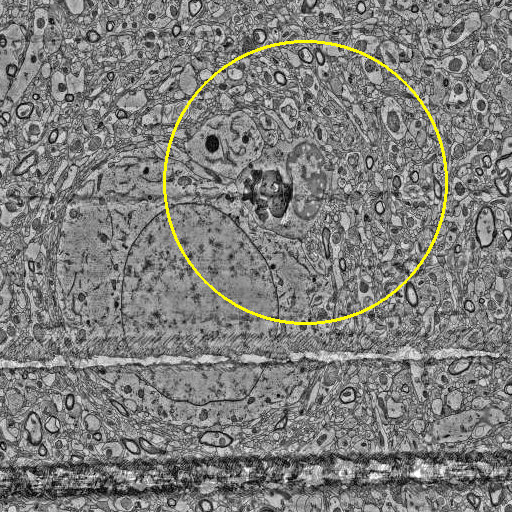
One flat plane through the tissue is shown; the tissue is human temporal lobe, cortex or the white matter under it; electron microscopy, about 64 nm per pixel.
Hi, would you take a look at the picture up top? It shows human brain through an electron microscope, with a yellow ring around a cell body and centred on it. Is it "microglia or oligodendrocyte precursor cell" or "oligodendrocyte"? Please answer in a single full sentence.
The best fit for the cell in the middle of the ring is an oligodendrocyte, I reckon.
